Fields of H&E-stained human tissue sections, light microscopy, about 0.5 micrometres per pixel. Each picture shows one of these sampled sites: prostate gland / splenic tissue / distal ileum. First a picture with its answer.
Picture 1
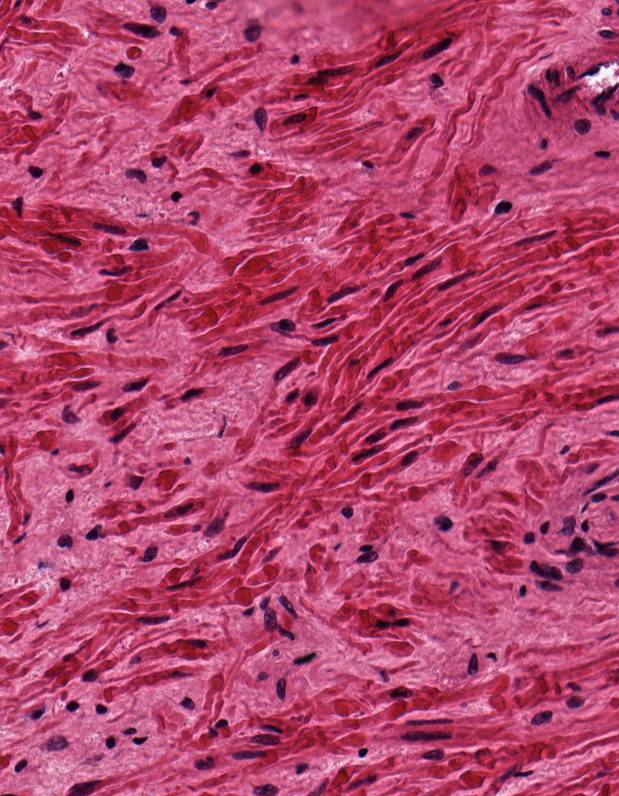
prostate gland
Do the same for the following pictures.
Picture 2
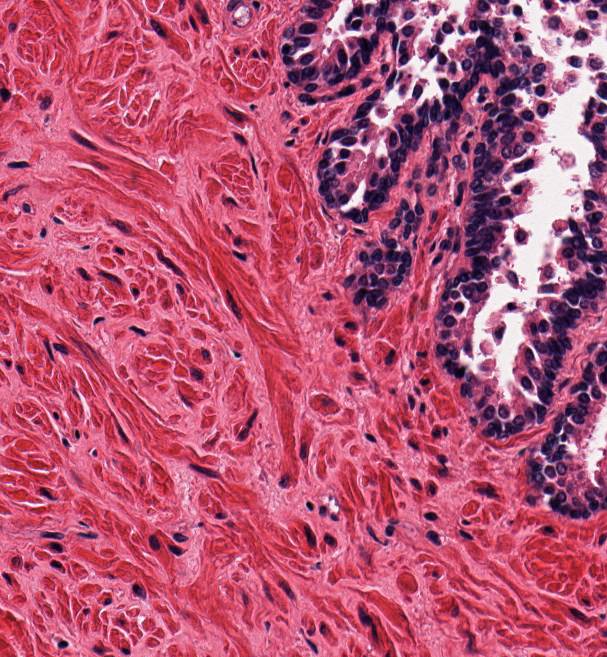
prostate gland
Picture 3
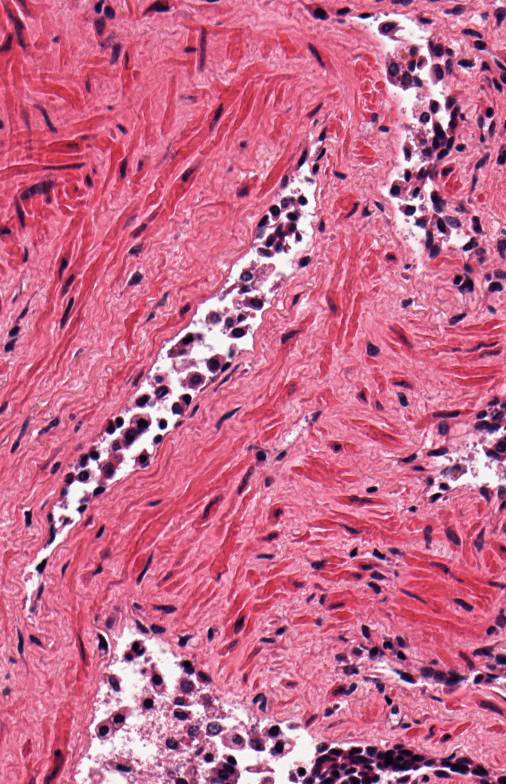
prostate gland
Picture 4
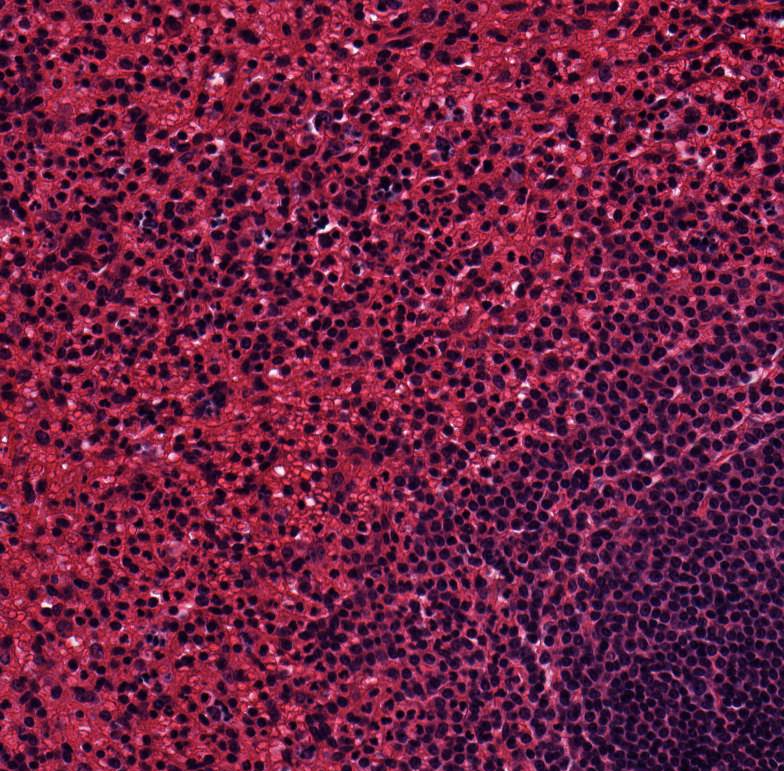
splenic tissue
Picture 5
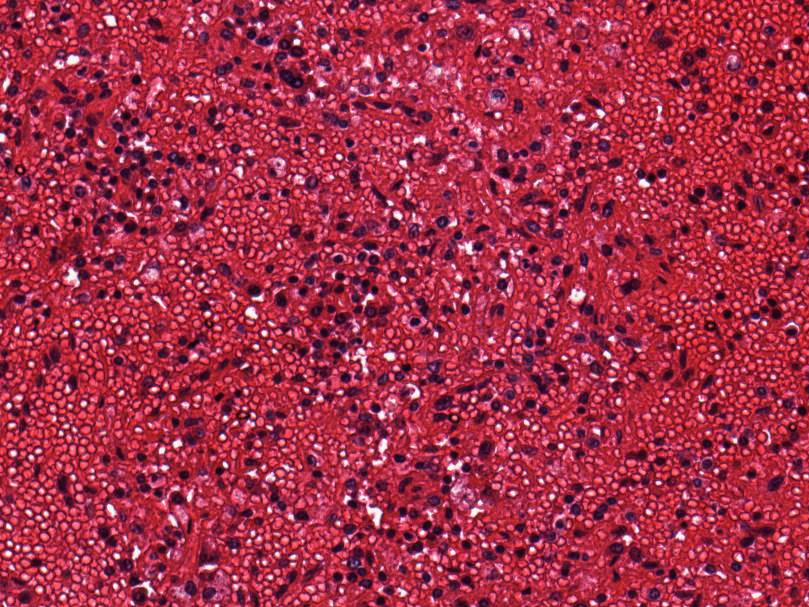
splenic tissue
